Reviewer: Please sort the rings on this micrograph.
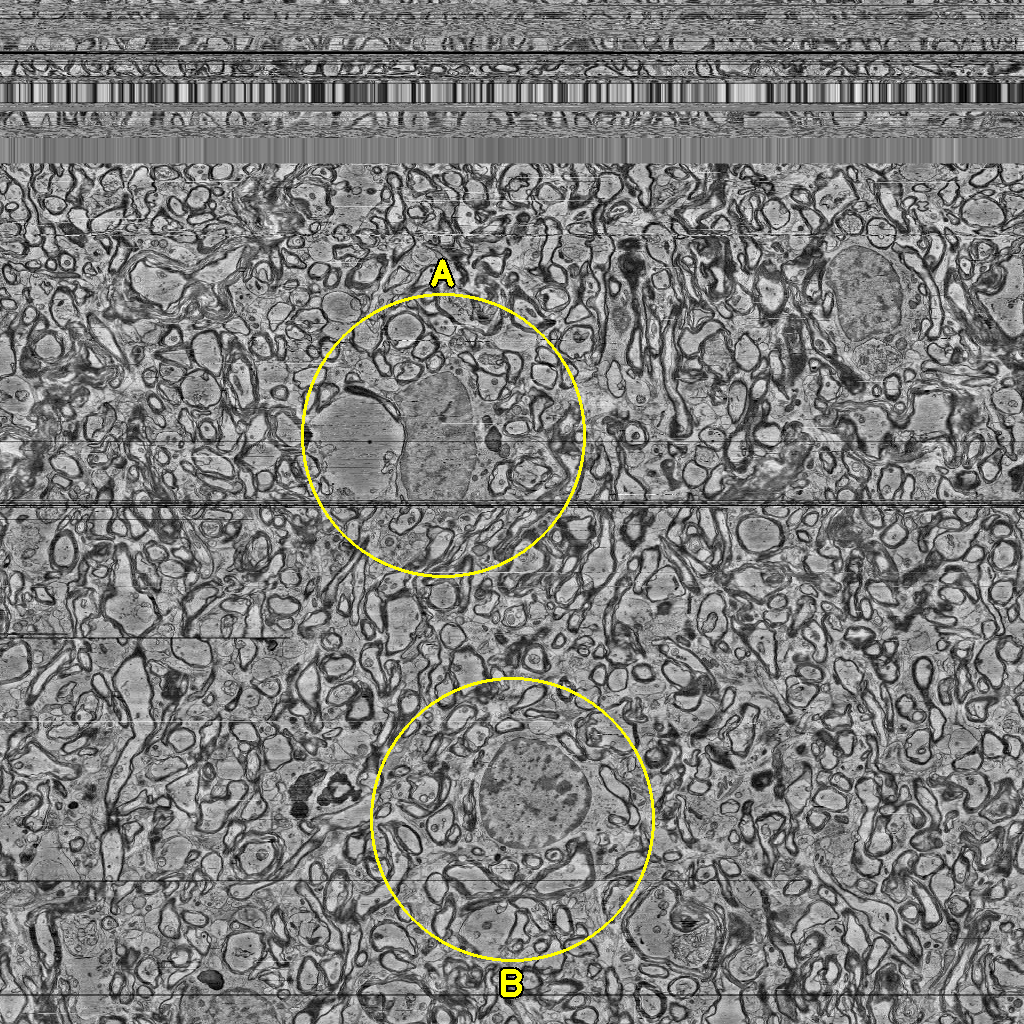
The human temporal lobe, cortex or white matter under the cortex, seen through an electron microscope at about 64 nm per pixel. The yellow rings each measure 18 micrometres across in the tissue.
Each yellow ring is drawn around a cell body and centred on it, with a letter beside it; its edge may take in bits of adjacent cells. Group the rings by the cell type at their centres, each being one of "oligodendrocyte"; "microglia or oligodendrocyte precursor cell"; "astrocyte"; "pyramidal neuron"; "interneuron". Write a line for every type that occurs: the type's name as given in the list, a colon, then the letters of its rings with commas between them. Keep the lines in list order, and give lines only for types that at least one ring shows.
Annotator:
oligodendrocyte: A
microglia or oligodendrocyte precursor cell: B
